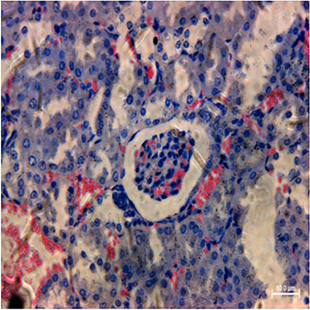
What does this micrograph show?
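This is renal cortex with a single glomerulus in the middle. Its capillary tuft is a compact ball of many small, dark blue nuclei, with red blood cells caught in the loops. Around the tuft runs a clear, pale space bounded by a thin capsule. Red blood cells also fill small capillaries lying between the tubules, most densely toward the lower left.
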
